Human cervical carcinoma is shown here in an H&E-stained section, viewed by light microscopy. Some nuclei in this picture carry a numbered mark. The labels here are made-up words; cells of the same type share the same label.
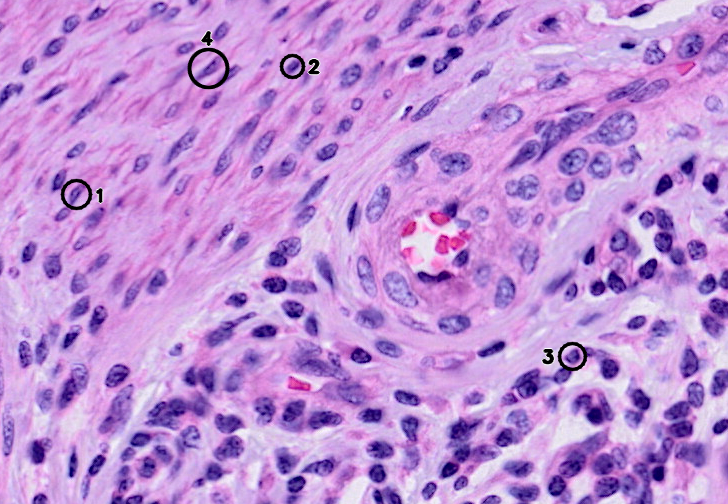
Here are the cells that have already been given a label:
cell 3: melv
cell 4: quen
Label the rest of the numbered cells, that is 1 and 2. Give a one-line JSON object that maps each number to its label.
{"1": "quen", "2": "quen"}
